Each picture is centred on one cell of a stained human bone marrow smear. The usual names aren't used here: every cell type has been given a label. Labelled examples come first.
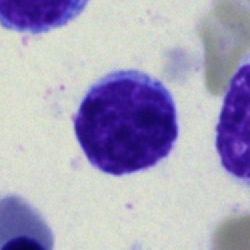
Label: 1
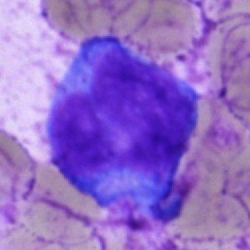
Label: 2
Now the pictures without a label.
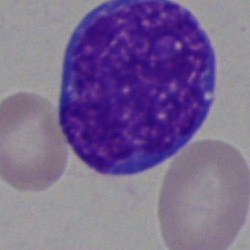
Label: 2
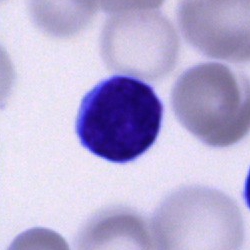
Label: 1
